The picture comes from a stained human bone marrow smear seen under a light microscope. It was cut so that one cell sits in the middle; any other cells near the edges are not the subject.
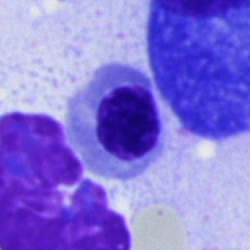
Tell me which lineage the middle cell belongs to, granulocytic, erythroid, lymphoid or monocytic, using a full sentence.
Assigned to the erythroid lineage is the cell at the center.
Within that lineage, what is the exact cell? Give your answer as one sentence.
Whatever else lies nearby, the middle cell is an erythroblast.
